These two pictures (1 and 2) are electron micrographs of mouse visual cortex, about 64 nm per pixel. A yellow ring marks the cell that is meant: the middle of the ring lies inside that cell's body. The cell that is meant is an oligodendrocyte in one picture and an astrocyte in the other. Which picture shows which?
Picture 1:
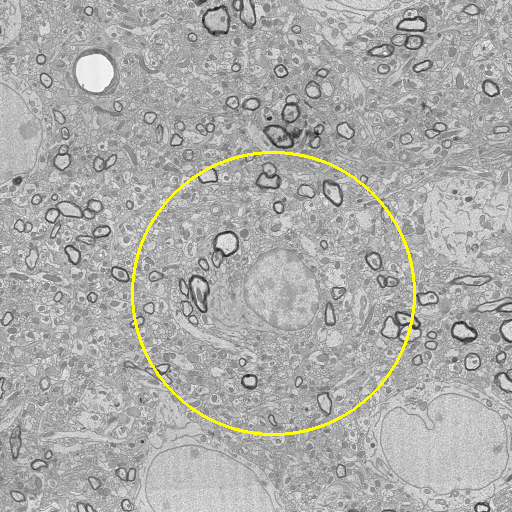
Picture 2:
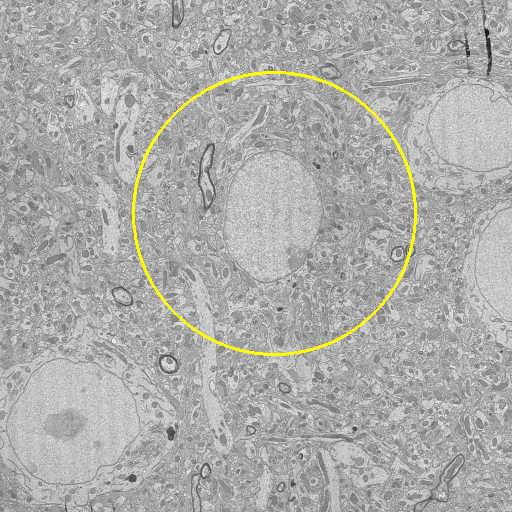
It is picture 1 that shows an oligodendrocyte, and picture 2 that shows an astrocyte.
